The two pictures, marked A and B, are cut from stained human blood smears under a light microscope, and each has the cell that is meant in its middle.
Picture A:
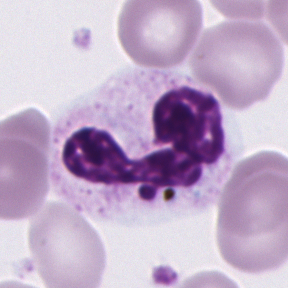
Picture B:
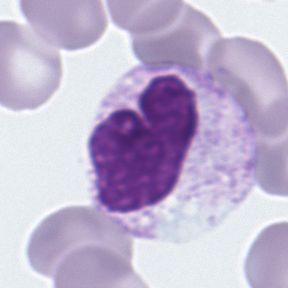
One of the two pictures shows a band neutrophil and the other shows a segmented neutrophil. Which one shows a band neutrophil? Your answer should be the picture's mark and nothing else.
B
